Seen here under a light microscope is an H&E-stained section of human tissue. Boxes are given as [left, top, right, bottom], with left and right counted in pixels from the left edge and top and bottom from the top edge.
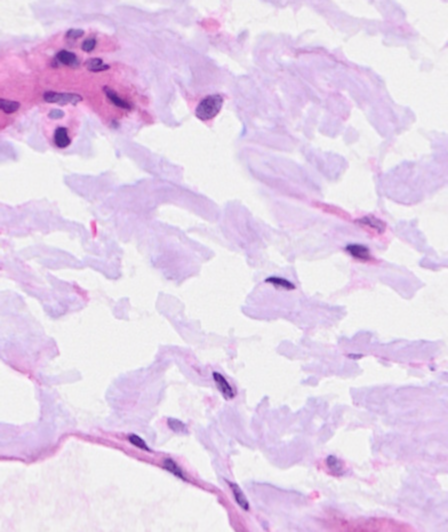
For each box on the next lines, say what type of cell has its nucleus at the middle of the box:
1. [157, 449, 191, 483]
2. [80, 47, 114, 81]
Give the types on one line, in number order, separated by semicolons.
endothelial cell; smooth muscle cell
